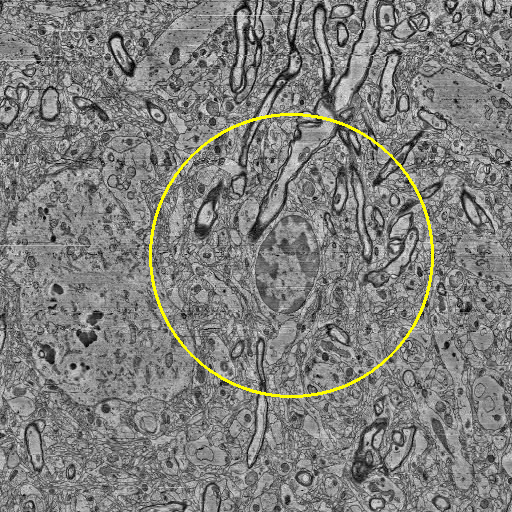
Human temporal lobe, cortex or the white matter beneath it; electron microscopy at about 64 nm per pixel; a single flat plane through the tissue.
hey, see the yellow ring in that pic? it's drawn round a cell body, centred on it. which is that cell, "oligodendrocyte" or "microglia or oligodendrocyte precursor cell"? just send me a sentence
The cell in the ring is a microglial cell or oligodendrocyte precursor cell.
